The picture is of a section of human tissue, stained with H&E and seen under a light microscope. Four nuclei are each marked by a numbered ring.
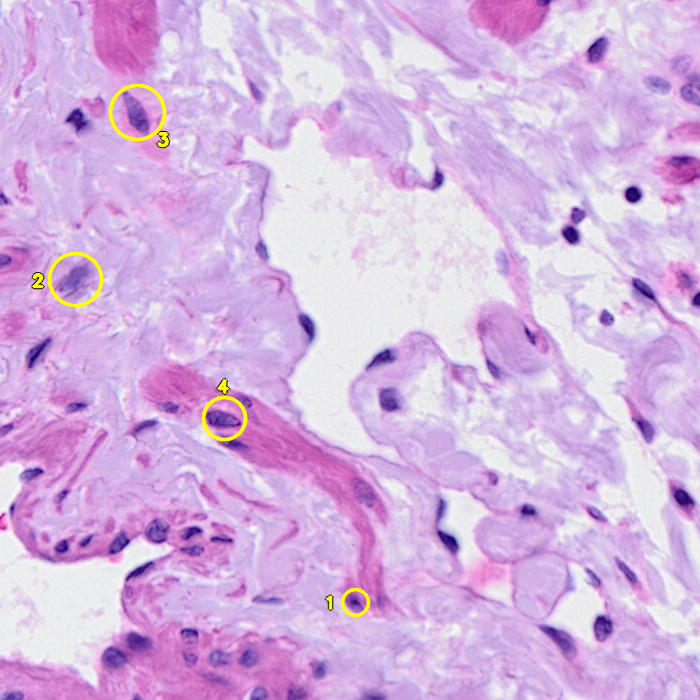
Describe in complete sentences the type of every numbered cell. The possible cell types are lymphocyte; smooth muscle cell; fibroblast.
Cells 1, 3 and 4 are smooth muscle cells. Cell 2 is a fibroblast.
